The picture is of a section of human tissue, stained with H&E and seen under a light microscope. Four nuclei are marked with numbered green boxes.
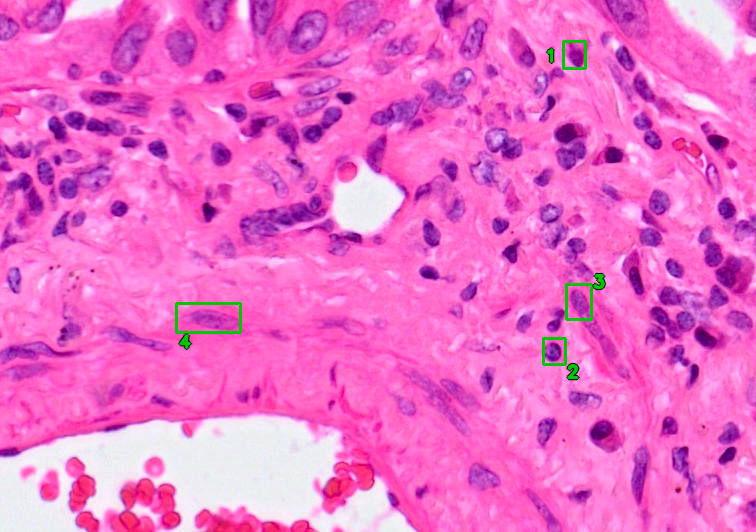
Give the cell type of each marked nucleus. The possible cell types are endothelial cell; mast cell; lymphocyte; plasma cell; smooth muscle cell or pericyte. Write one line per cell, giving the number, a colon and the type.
1: plasma cell
2: mast cell
3: smooth muscle cell or pericyte
4: smooth muscle cell or pericyte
